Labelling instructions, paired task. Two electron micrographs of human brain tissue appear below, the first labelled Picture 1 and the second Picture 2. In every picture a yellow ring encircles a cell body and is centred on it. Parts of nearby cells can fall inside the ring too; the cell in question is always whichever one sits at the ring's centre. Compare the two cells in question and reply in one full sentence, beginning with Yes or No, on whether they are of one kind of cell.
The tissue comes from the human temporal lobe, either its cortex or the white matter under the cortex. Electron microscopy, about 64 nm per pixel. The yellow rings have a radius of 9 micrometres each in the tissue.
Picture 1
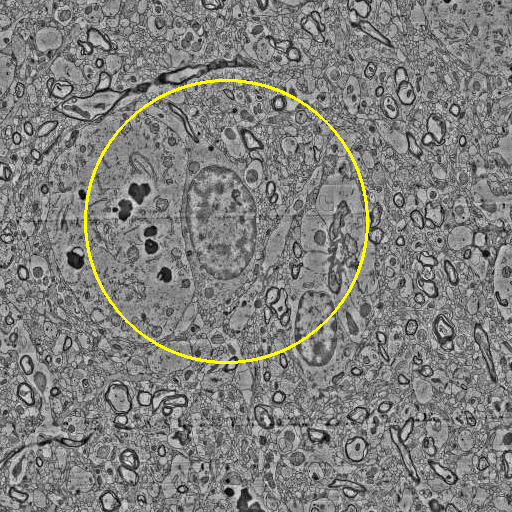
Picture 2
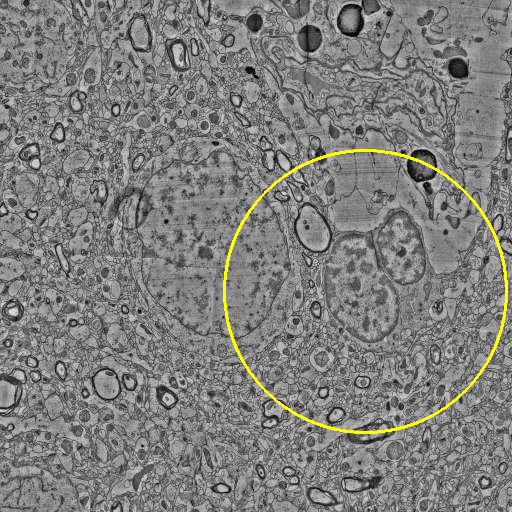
Yes, the two cells at the ring centres in Picture 1 and Picture 2 are of one kind.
